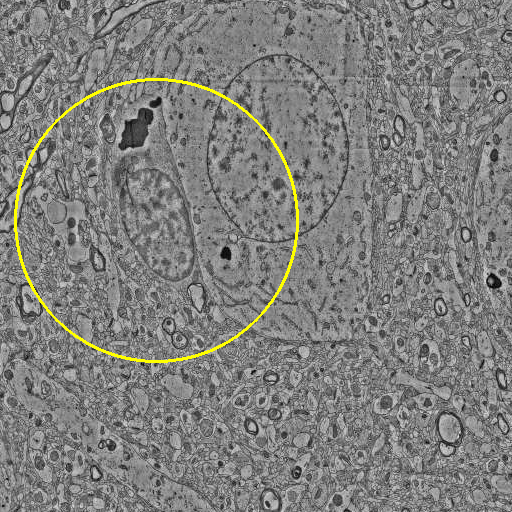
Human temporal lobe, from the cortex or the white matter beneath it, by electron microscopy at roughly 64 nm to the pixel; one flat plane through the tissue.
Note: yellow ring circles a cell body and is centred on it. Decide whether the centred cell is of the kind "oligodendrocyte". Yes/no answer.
Yes, the centred cell is of that kind.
